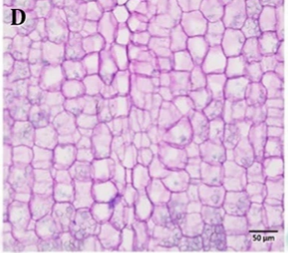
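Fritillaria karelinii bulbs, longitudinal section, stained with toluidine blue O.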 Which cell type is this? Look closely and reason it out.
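Thin-walled, roughly isodiametric polygonal cells. Cells packed closely in rows with no thick-walled or specialised elements.
Answer: parenchymatous cells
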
